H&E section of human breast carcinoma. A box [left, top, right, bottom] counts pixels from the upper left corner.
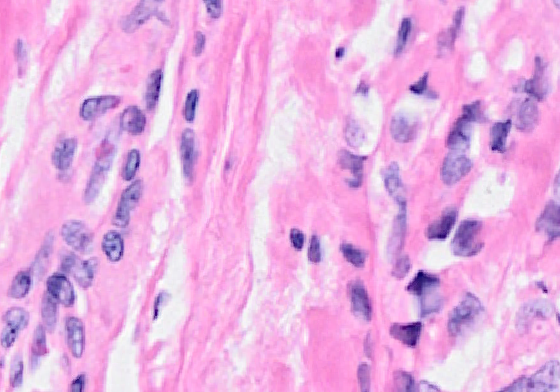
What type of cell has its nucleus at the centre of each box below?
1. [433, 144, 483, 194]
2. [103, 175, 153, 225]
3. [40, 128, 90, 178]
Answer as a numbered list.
1. carcinoma cell
2. endothelial cell
3. endothelial cell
